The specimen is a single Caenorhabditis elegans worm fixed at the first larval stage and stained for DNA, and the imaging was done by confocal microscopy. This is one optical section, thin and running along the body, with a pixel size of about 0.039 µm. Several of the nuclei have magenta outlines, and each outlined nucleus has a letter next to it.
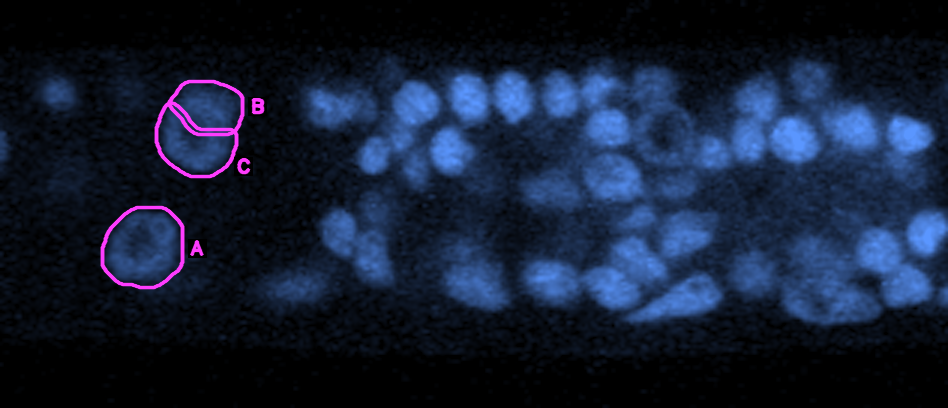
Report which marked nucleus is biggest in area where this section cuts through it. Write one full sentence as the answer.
Nucleus A covers the most area here.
